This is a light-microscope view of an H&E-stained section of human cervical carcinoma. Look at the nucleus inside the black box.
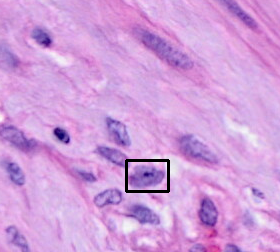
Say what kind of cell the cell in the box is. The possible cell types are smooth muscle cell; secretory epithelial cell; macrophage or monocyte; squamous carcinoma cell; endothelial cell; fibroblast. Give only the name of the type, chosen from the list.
macrophage or monocyte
